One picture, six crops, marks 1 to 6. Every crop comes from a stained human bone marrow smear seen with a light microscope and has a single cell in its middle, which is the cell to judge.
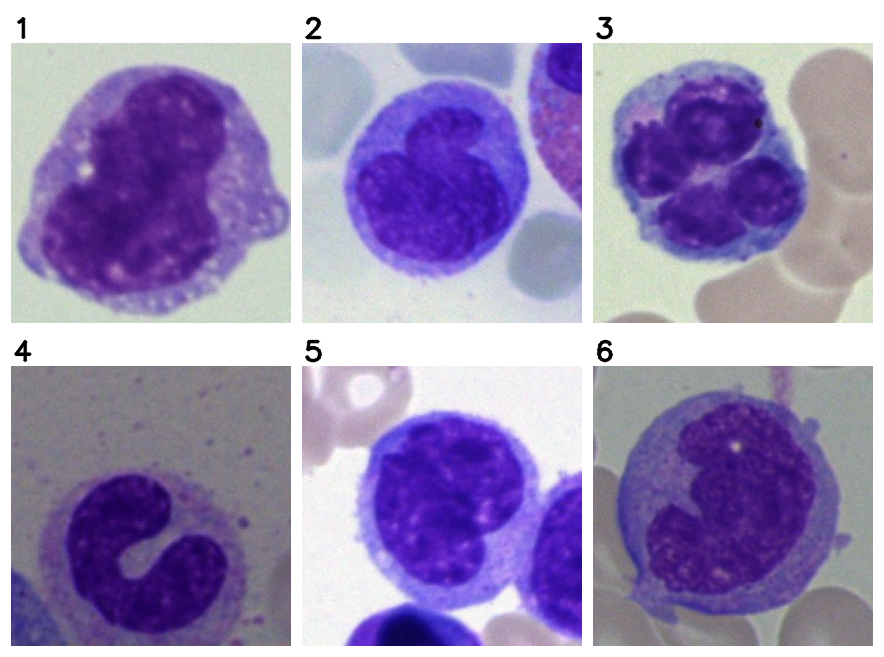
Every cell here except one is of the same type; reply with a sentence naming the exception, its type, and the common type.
While crop 4 shows a band neutrophil, the other crops all show monocytes.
